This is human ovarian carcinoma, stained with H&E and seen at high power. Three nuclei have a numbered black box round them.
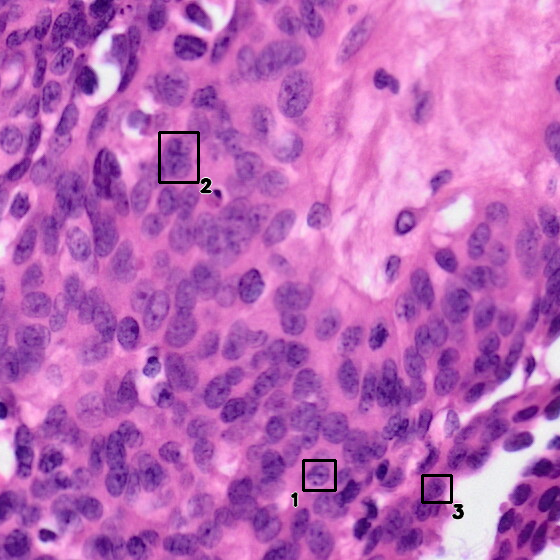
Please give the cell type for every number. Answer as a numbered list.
1. macrophage or monocyte
2. carcinoma cell
3. carcinoma cell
